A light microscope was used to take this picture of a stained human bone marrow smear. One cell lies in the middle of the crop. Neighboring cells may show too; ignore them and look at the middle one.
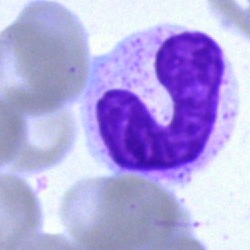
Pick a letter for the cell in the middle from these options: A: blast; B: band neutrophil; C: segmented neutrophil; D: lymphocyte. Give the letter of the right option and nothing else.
B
